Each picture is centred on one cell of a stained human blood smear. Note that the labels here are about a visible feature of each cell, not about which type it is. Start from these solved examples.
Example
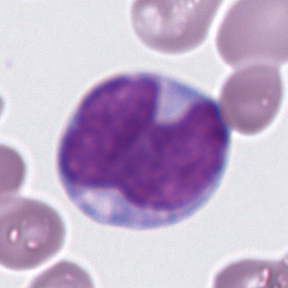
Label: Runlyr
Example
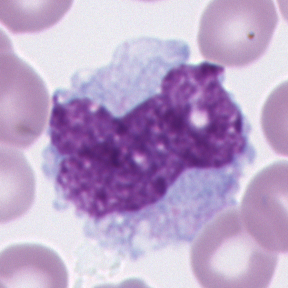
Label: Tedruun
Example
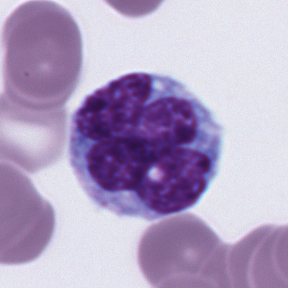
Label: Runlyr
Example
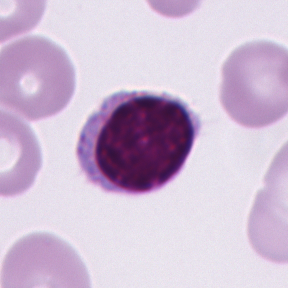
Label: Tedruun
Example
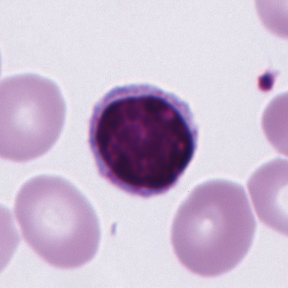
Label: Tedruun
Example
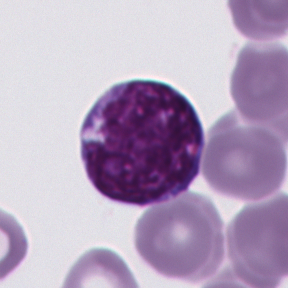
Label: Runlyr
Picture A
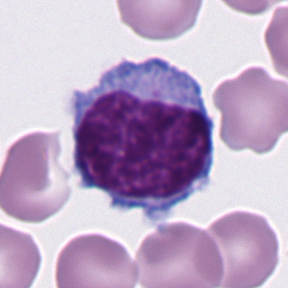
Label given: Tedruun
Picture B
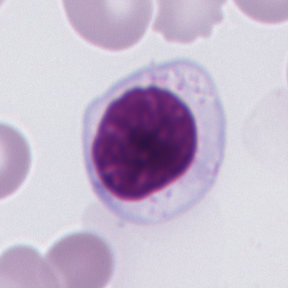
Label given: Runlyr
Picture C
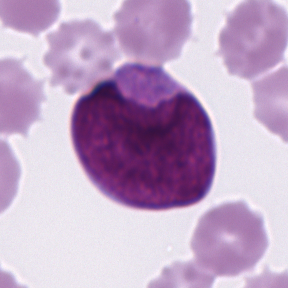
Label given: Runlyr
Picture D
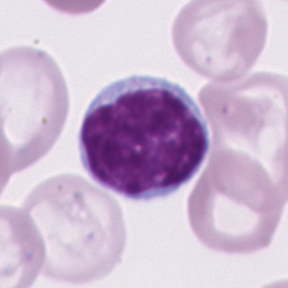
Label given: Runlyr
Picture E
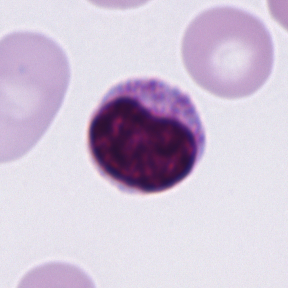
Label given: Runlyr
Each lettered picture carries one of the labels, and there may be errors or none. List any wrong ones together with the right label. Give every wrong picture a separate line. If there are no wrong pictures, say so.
All labels are correct.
